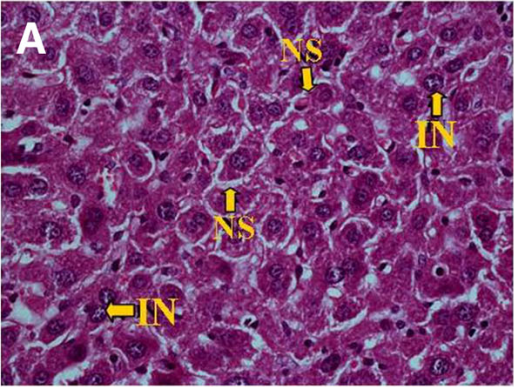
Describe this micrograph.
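This is liver parenchyma made of hepatocytes, large polygonal cells with pink, finely granular cytoplasm. The cells are arranged in cords separated by narrow, pale clefts, the sinusoids, which run between them throughout the field. The tissue is evenly organised without clusters of small inflammatory cells.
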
